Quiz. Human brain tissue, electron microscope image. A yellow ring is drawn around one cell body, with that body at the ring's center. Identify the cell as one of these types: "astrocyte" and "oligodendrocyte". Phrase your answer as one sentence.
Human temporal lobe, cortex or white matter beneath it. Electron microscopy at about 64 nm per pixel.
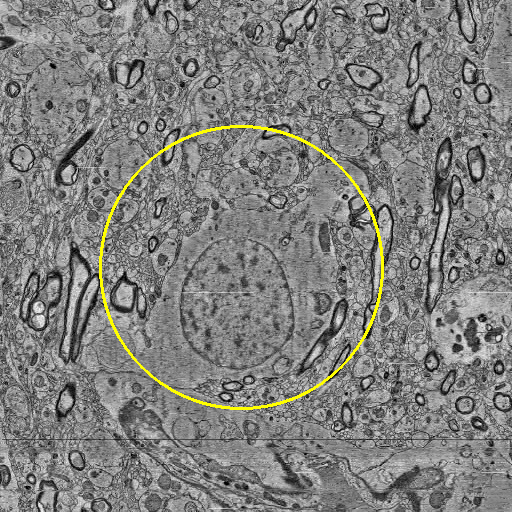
At the center of the ring sits an astrocyte.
